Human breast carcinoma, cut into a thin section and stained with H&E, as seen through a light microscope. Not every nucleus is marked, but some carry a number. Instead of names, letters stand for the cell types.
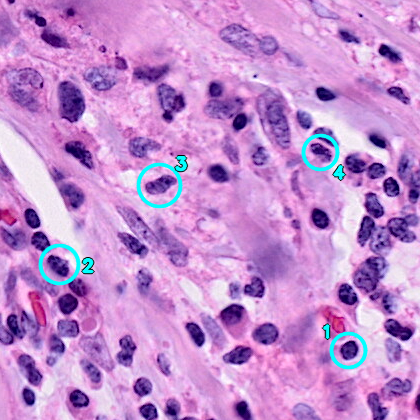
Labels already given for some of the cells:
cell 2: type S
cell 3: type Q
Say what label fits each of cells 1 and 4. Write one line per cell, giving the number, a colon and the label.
1: type S
4: type S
